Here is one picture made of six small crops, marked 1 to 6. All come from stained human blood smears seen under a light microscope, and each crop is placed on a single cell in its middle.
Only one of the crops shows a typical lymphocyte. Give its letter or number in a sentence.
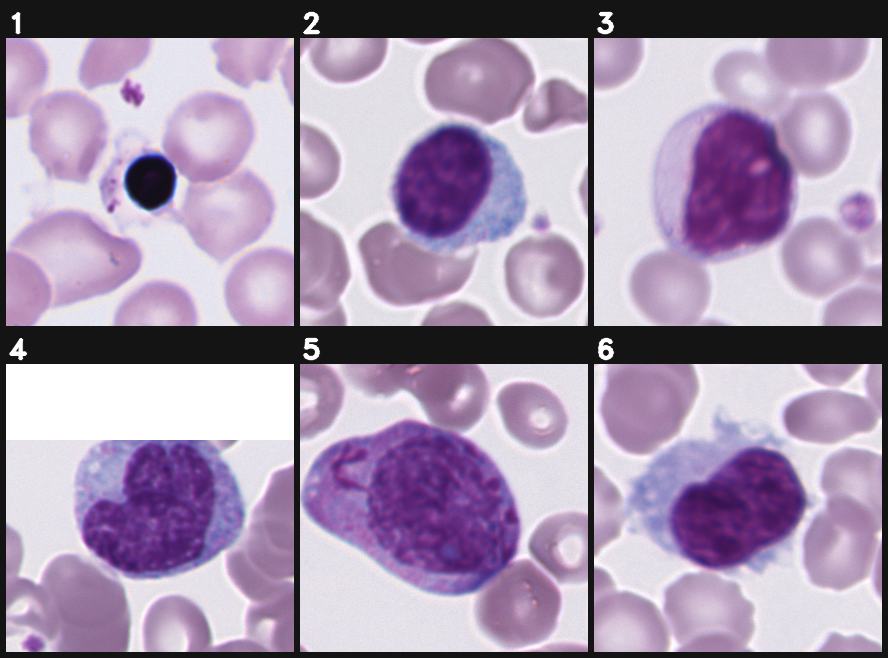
Crop 2 is the correct crop, and it shows a typical lymphocyte.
